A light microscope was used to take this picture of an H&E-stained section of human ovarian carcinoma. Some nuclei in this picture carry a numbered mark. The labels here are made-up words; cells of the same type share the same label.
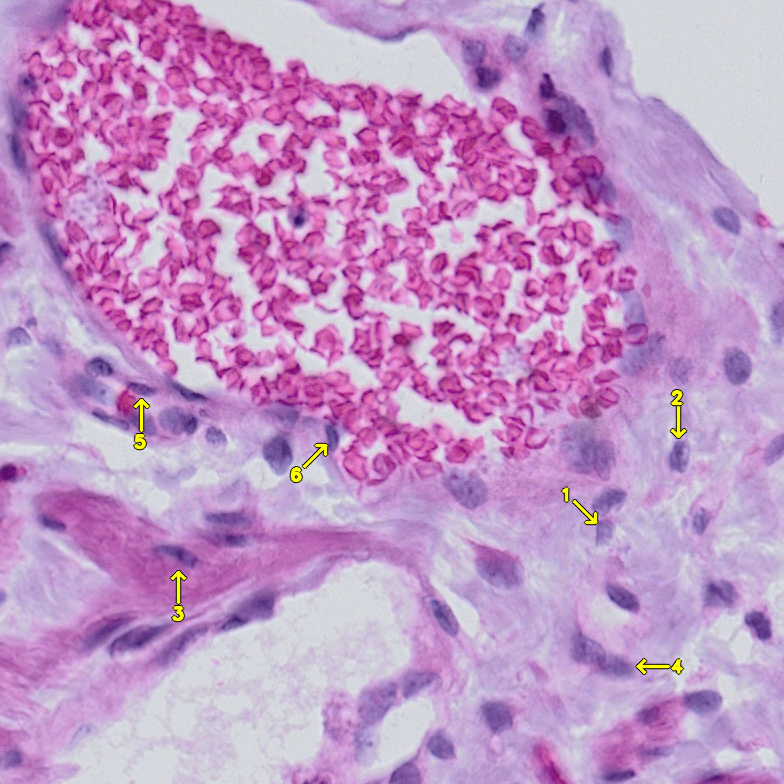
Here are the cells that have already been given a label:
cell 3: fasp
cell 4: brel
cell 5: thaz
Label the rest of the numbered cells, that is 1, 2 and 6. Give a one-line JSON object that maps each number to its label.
{"1": "brel", "2": "brel", "6": "thaz"}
